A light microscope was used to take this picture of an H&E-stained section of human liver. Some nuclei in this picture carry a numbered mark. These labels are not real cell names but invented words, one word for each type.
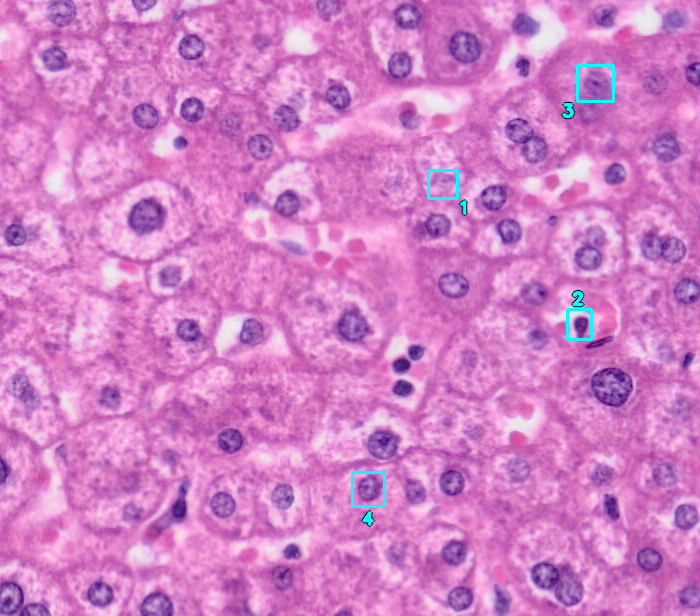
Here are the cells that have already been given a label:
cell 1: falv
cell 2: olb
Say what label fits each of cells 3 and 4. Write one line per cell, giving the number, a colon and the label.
3: falv
4: falv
